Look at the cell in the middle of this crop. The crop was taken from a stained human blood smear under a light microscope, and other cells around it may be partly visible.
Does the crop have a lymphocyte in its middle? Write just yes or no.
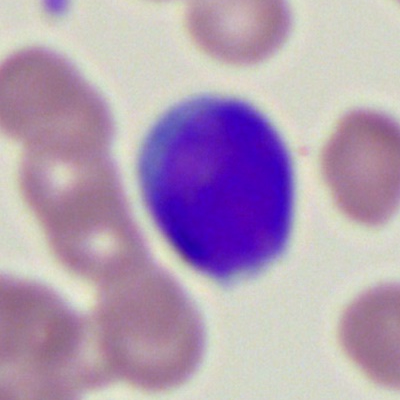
no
